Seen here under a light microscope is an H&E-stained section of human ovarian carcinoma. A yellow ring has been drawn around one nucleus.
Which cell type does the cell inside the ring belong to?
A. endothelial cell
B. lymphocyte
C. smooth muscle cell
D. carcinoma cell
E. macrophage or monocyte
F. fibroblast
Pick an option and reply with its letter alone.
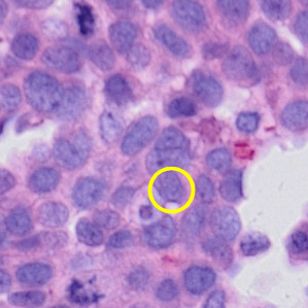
D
